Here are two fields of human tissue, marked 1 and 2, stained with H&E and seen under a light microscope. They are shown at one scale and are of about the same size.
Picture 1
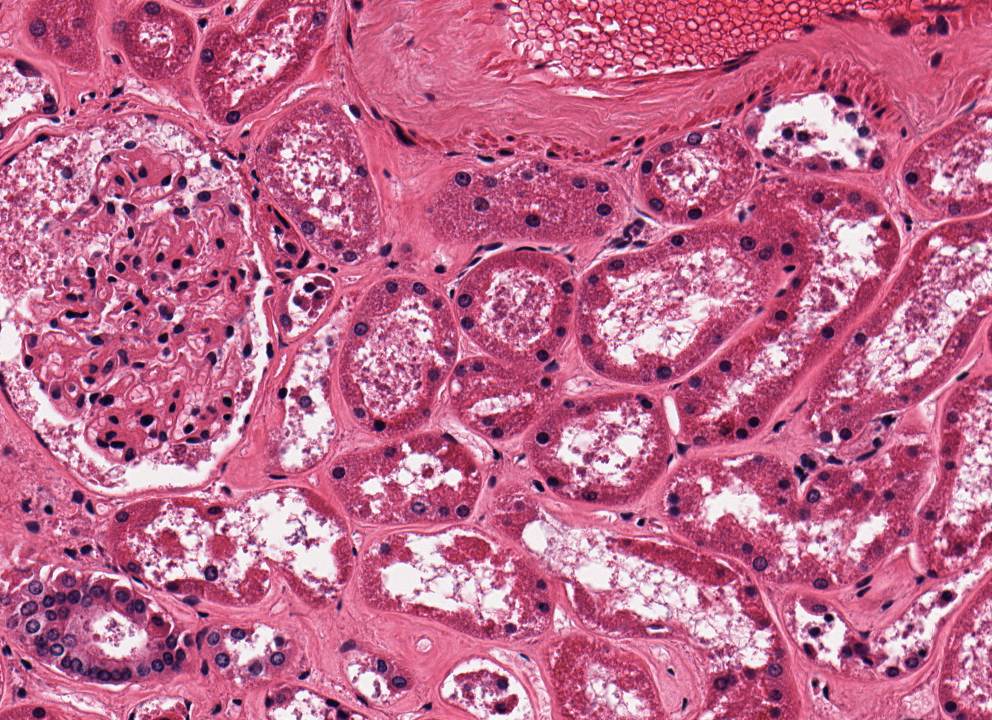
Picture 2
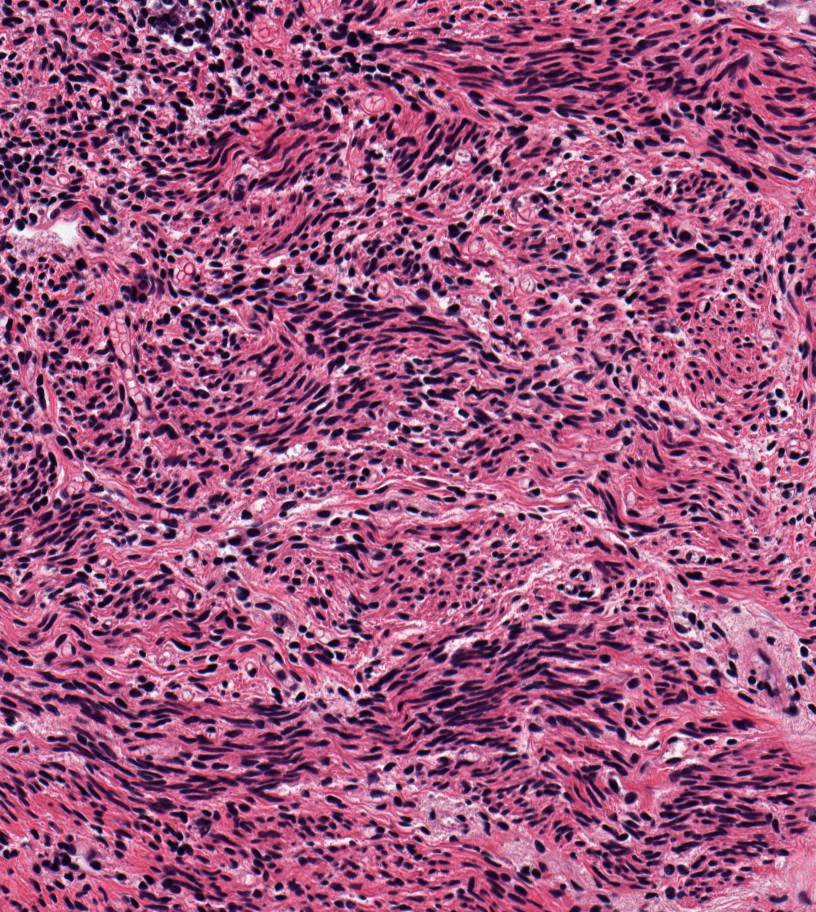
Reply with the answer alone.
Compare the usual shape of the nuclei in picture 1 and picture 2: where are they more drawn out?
2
